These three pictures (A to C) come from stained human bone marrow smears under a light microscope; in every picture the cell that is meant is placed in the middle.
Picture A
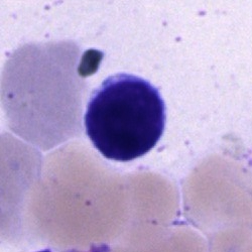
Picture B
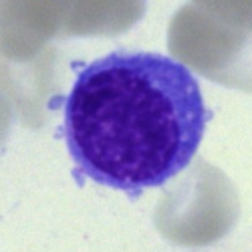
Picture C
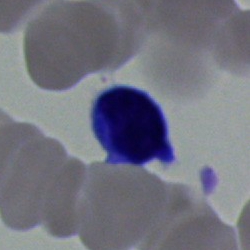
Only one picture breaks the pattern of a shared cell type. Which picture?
B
